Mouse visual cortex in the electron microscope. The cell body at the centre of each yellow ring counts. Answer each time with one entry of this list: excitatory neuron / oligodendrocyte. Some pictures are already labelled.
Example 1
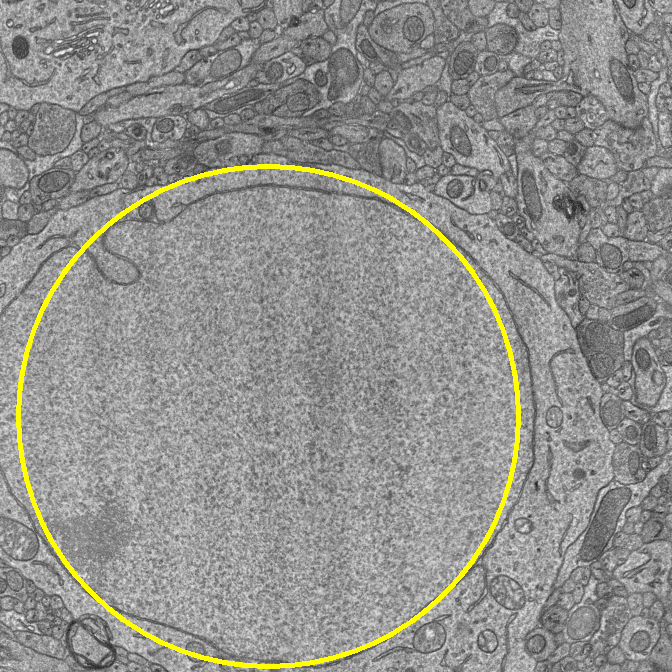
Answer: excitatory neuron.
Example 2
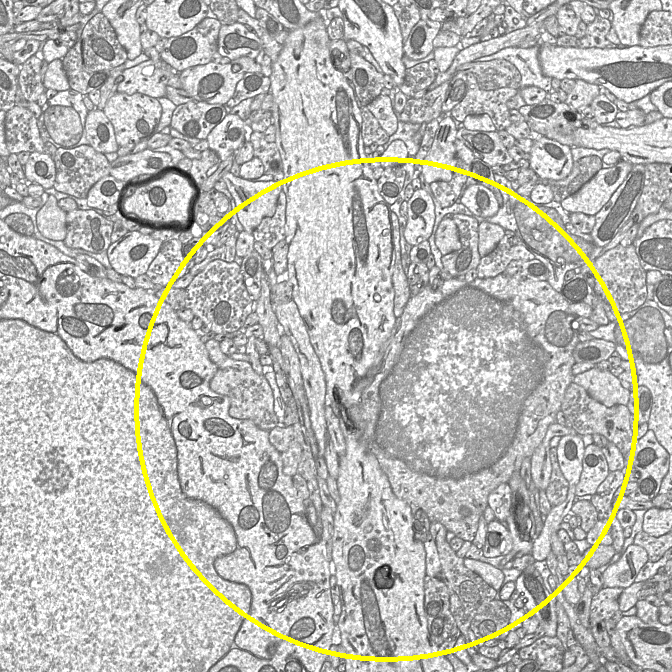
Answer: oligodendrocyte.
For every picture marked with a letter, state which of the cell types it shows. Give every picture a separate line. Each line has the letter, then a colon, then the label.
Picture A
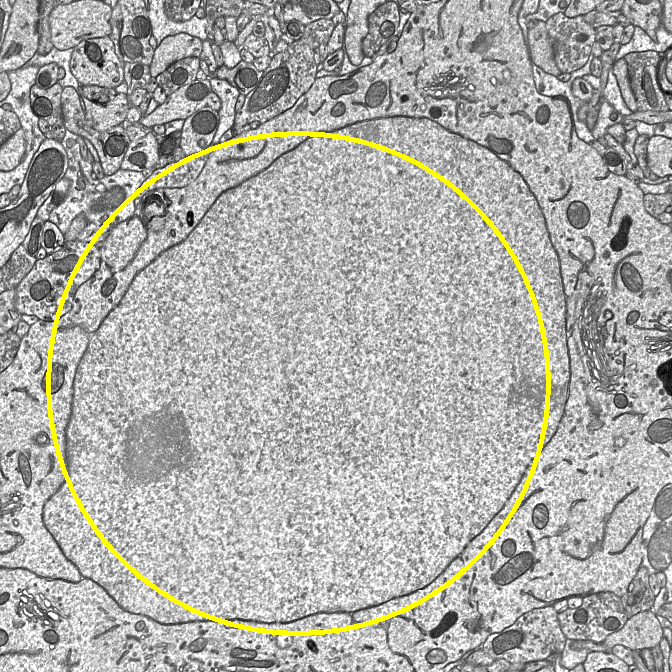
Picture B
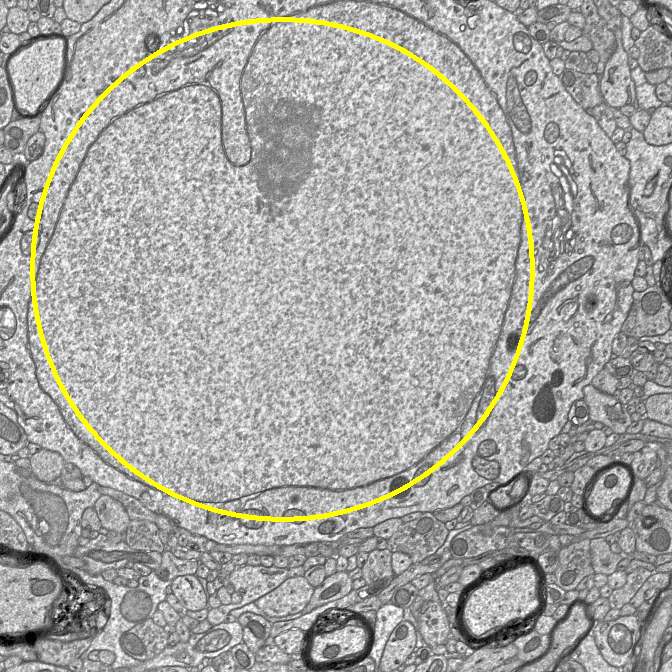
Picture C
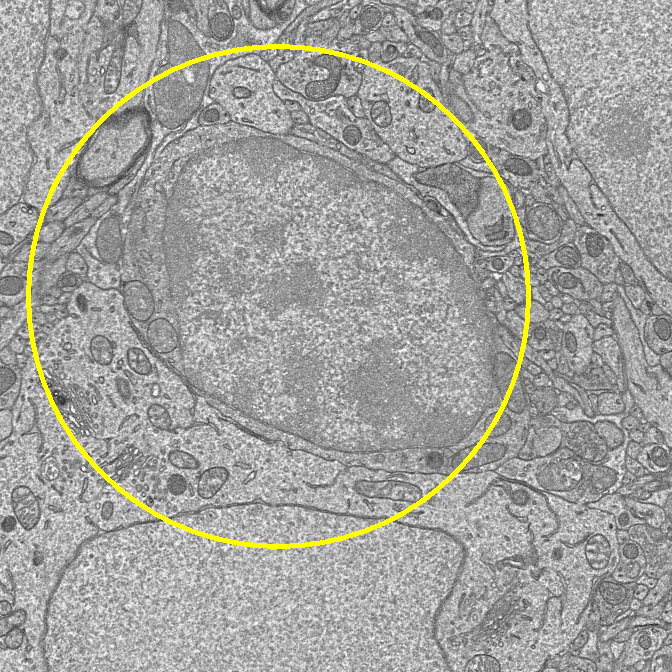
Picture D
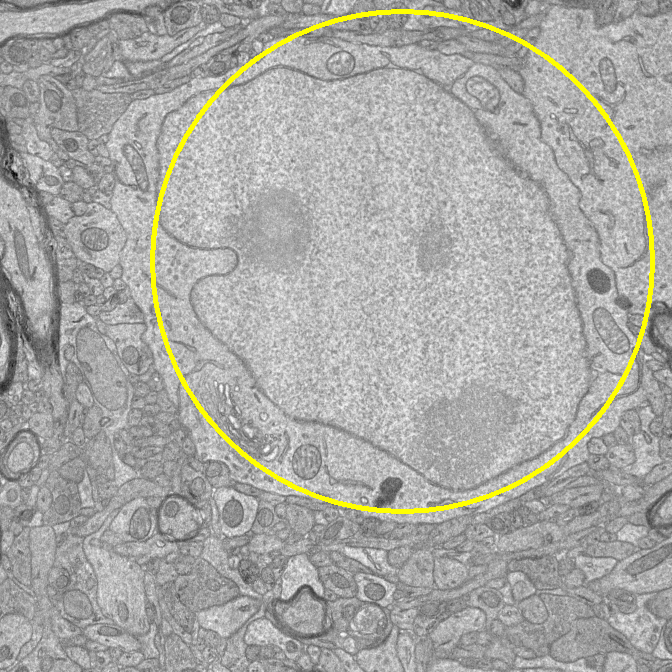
A: excitatory neuron.
B: excitatory neuron.
C: oligodendrocyte.
D: excitatory neuron.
